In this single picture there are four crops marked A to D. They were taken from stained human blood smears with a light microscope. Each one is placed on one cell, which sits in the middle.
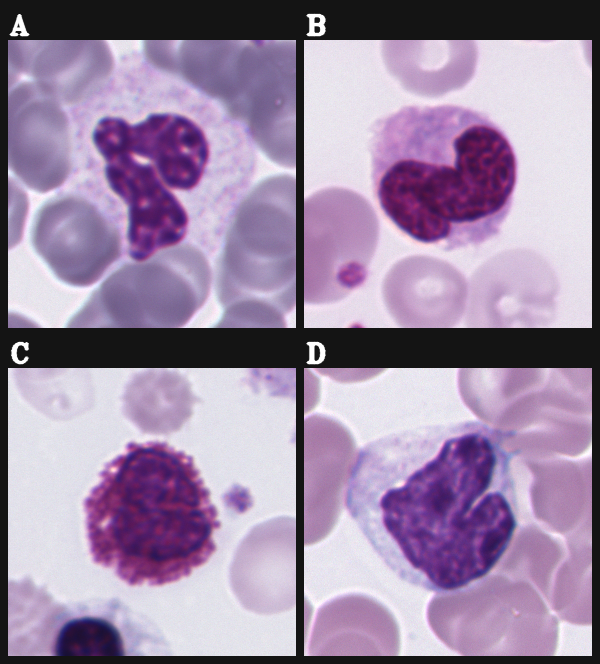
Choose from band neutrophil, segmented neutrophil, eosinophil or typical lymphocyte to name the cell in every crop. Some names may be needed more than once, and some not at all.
A: segmented neutrophil
B: band neutrophil
C: eosinophil
D: band neutrophil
